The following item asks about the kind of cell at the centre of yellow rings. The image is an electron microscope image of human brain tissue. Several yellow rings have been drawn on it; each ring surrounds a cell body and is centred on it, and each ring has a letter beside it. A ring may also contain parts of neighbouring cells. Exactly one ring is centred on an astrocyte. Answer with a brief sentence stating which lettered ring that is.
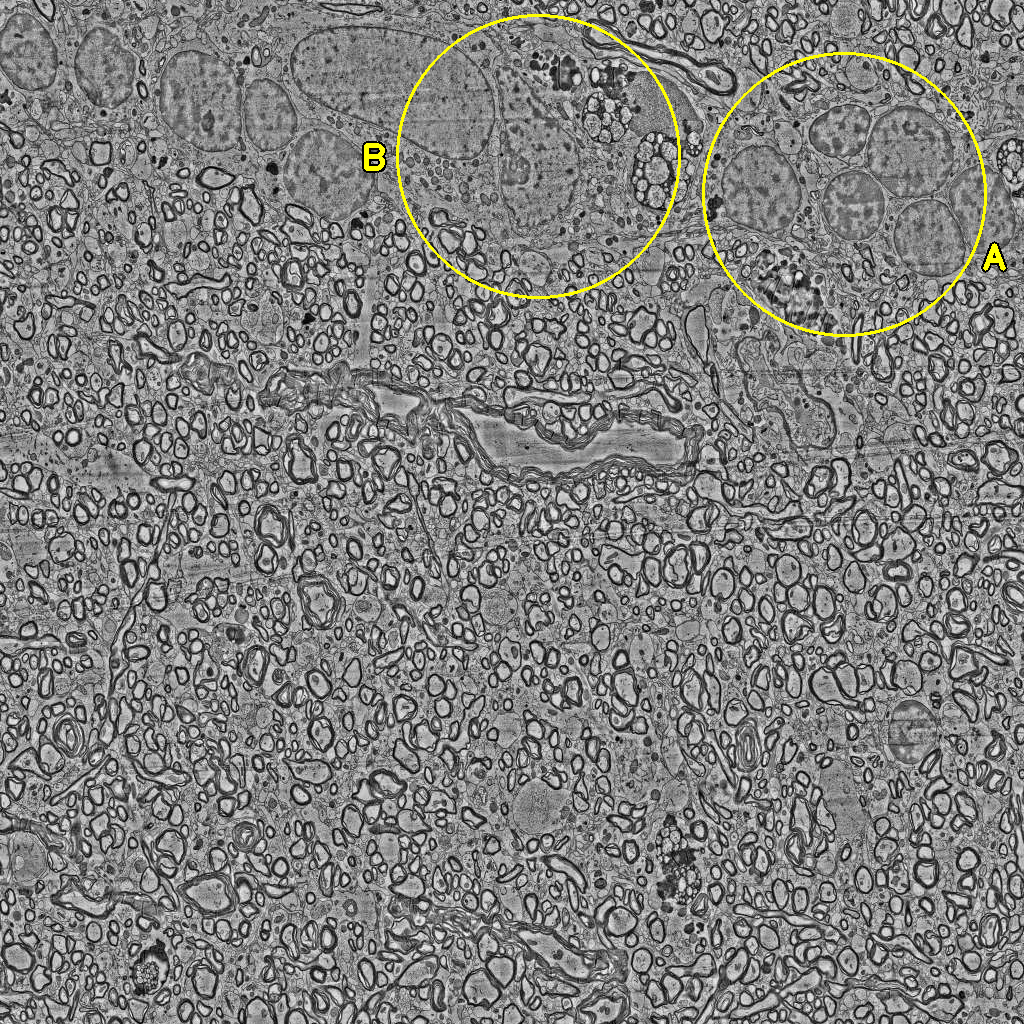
That is ring B.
